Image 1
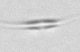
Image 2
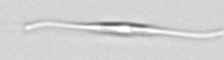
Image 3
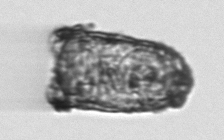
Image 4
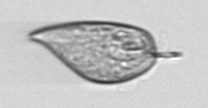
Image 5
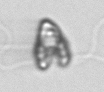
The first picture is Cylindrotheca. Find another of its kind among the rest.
Picture 2.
